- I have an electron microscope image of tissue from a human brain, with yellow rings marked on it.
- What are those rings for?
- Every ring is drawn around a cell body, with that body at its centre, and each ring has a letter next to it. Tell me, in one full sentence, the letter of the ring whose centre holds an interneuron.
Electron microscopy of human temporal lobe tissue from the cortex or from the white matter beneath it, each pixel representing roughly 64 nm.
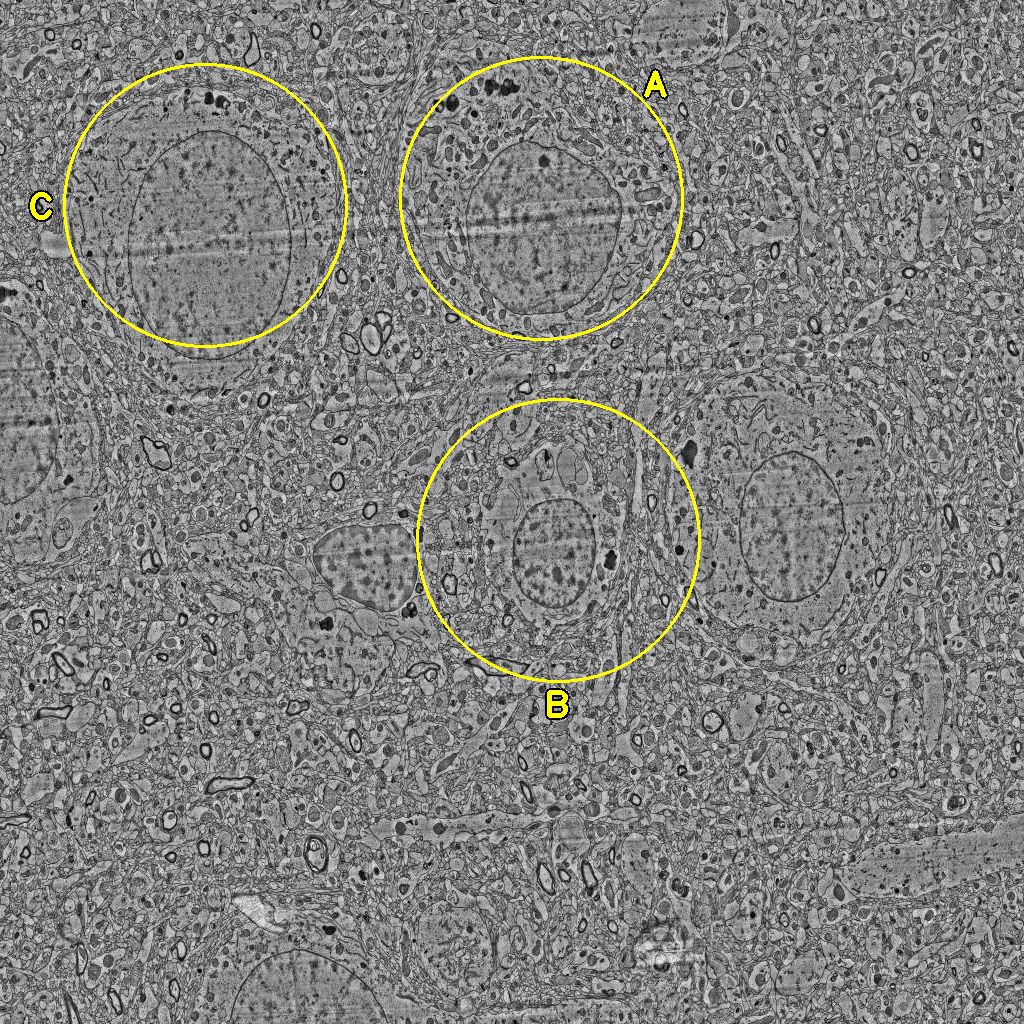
In the picture, the cell asked for sits at the centre of ring A.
